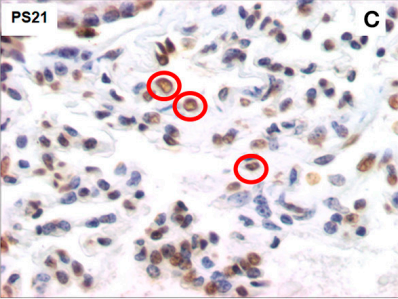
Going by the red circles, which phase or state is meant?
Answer: Apoptotic cells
